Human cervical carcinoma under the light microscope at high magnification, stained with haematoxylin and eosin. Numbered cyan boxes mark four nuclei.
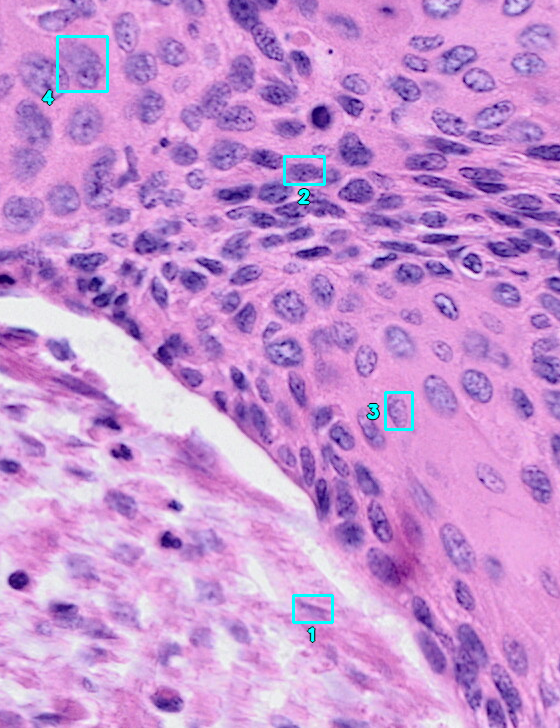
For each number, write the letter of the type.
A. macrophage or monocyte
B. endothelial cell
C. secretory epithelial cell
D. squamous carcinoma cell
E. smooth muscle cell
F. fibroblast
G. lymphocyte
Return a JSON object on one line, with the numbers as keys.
{"1": "F", "2": "D", "3": "D", "4": "D"}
